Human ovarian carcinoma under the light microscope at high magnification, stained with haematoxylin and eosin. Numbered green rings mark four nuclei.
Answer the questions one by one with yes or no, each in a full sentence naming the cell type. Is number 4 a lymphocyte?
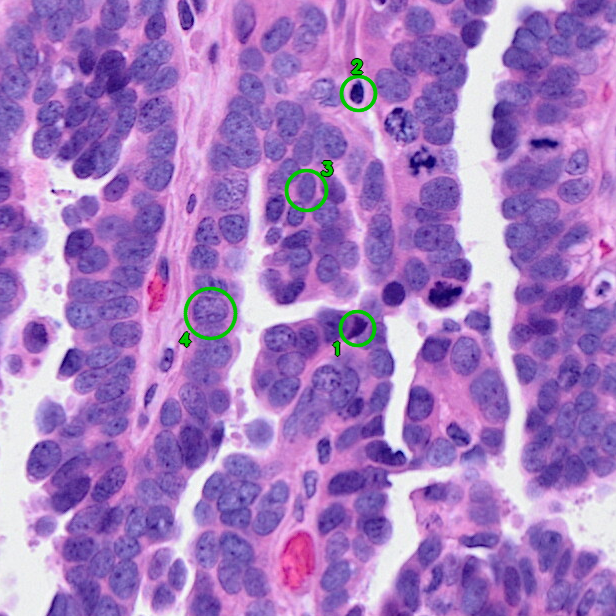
No, cell 4 is to be classed as a carcinoma cell, not a lymphocyte.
